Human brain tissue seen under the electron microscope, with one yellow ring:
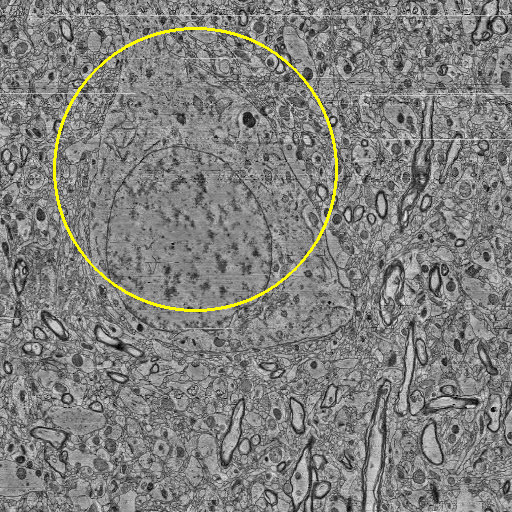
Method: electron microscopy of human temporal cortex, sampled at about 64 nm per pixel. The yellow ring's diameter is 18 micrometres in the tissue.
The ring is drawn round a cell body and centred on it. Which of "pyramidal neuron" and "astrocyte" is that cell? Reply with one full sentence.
The picture shows a pyramidal neuron at the very centre of the yellow ring.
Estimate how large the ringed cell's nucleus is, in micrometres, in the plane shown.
The nucleus is approximately 12 micrometers long by 11 micrometers wide in this plane.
